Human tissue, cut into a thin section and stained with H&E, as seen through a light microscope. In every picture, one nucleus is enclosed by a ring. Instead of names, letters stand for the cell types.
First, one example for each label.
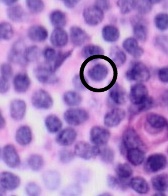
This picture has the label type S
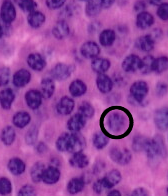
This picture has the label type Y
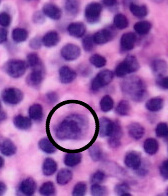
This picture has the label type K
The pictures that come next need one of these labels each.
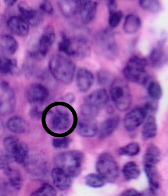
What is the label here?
type K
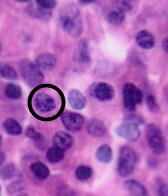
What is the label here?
type Y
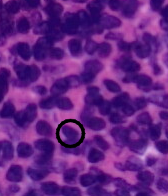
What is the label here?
type S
